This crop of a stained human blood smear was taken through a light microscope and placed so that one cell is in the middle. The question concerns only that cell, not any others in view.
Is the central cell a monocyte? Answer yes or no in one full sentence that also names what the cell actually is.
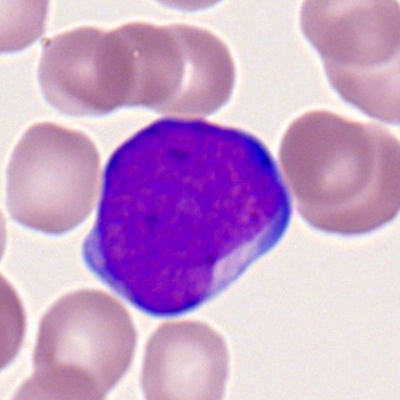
No, the central cell should be identified as a myeloblast, not as a monocyte.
